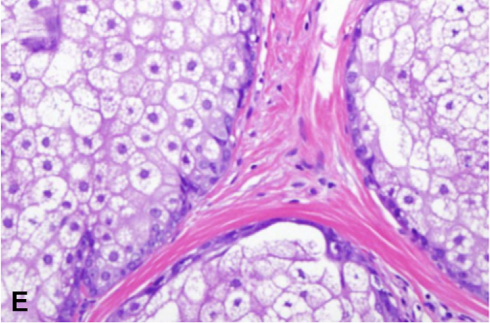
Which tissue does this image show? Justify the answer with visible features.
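Lobules of large pale cells with finely vacuolated, foamy cytoplasm. Small round nuclei sit centrally in the pale cells. Lobules are separated by pink fibrous septa. On this evidence: sebaceous glands.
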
